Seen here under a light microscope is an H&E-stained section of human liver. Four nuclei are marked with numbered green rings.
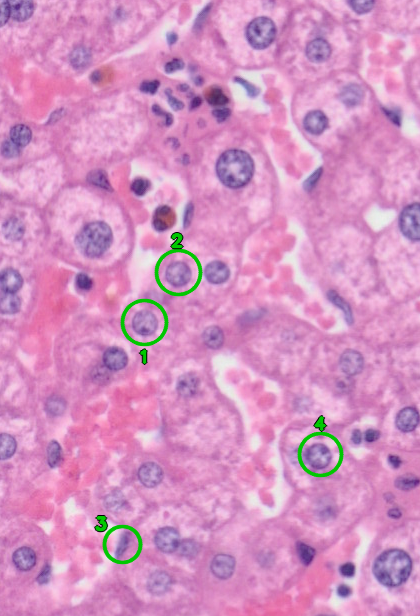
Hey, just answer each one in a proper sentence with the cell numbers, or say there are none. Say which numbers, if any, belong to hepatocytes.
Within this tissue, the cells numbered 1, 2 and 4 are hepatocytes.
